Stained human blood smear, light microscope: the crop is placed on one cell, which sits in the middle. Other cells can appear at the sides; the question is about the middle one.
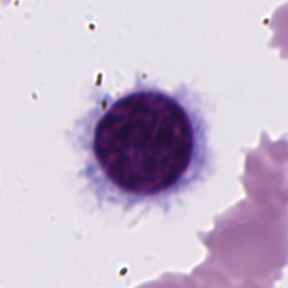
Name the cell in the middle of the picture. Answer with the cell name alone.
hairy cell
